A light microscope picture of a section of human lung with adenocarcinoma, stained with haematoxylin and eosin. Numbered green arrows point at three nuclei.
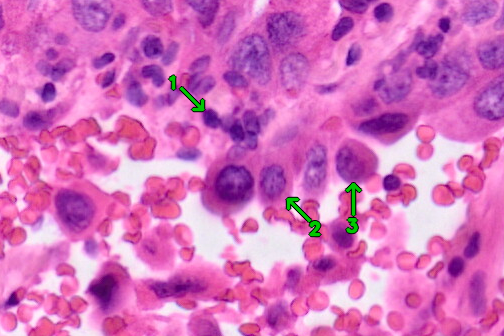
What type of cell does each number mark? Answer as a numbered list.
1. lymphocyte
2. carcinoma cell
3. carcinoma cell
